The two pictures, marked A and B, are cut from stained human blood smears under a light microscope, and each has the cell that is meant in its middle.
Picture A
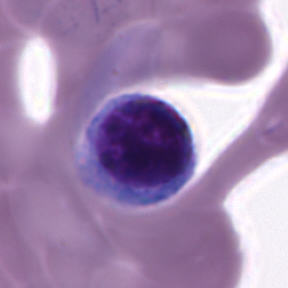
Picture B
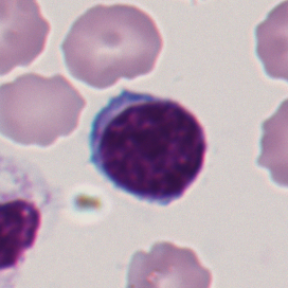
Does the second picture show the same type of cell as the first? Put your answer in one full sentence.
No. Picture A shows a plasma cell, but picture B shows a typical lymphocyte.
